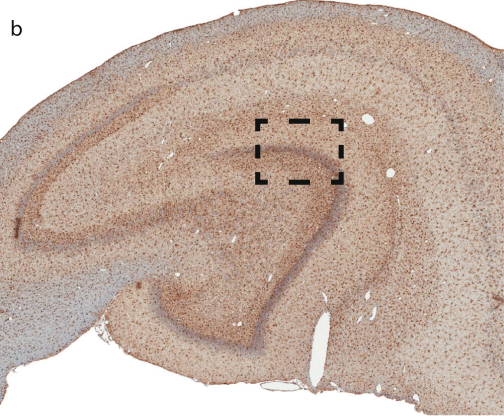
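A long, curved cell band sweeps in a C shape through the section. Inside its curve lies a darker, V-shaped band of tightly packed cells, with a paler cell-poor zone beside it. A paler, greyish-blue fibrous rim runs along the top and left edges. A dashed box marks a stretch of the dark inner band.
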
